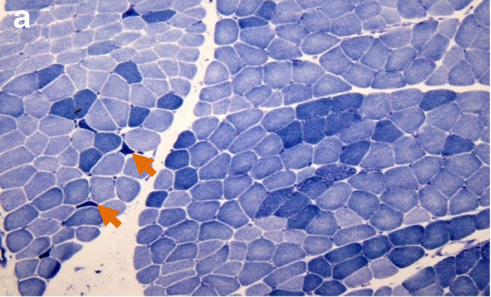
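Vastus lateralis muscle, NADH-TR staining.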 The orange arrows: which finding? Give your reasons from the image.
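The arrowed fibers are much smaller than their neighbours. The arrowed fibers are angular or thin and squeezed between larger fibers. The arrowed fibers stain a dense dark blue. The answer: small, angulated, or elongated myofibers.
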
